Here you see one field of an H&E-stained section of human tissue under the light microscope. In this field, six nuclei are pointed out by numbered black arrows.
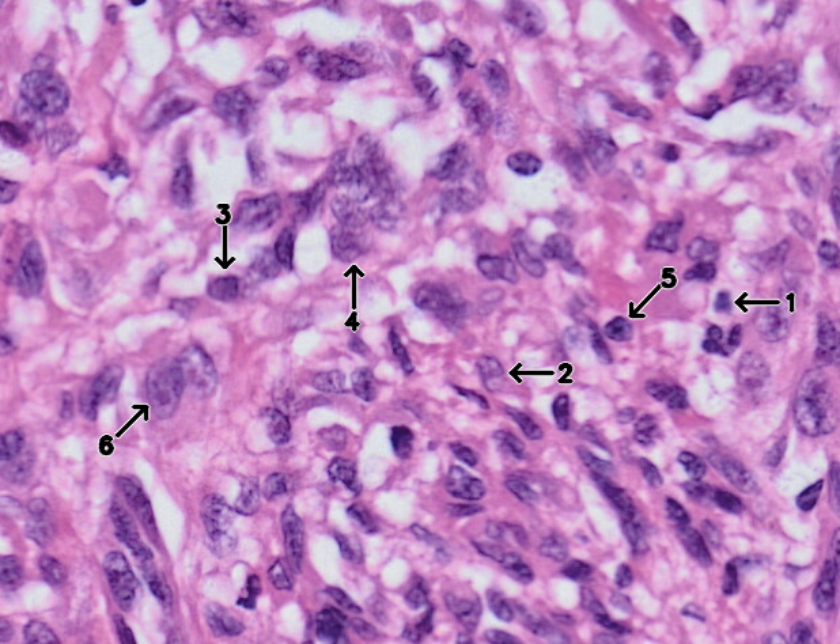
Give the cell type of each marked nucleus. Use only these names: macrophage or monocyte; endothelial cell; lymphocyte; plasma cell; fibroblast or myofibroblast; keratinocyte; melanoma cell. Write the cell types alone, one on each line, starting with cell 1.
lymphocyte
melanoma cell
melanoma cell
melanoma cell
lymphocyte
melanoma cell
